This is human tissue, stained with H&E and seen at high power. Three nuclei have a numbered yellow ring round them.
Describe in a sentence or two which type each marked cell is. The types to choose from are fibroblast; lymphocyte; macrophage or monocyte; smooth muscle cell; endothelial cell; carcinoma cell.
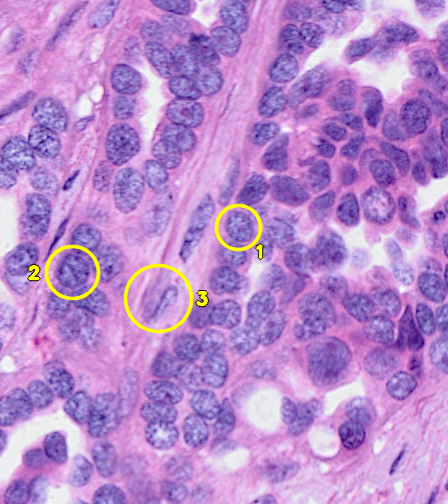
Cells 1 and 2 are carcinoma cells. Cell 3 is a fibroblast.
